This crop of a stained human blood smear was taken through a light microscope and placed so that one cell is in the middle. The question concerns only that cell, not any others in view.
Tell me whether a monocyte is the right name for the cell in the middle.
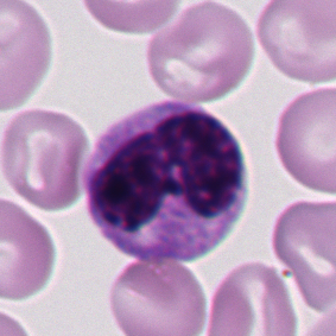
no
